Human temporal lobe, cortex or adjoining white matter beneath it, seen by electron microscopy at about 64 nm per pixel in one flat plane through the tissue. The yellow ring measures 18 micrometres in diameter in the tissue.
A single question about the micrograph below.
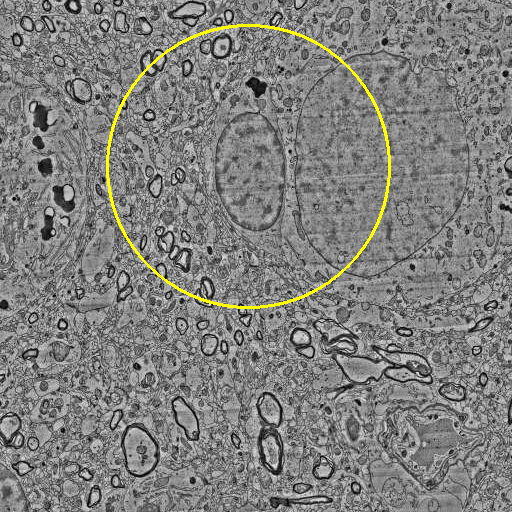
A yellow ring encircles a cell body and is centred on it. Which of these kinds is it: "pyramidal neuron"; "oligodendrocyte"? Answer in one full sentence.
The cell body at the centre of the yellow ring belongs to an oligodendrocyte.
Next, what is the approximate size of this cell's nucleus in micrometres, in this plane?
Roughly 8 by 4 micrometers, clearly longer than it is wide in this plane.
